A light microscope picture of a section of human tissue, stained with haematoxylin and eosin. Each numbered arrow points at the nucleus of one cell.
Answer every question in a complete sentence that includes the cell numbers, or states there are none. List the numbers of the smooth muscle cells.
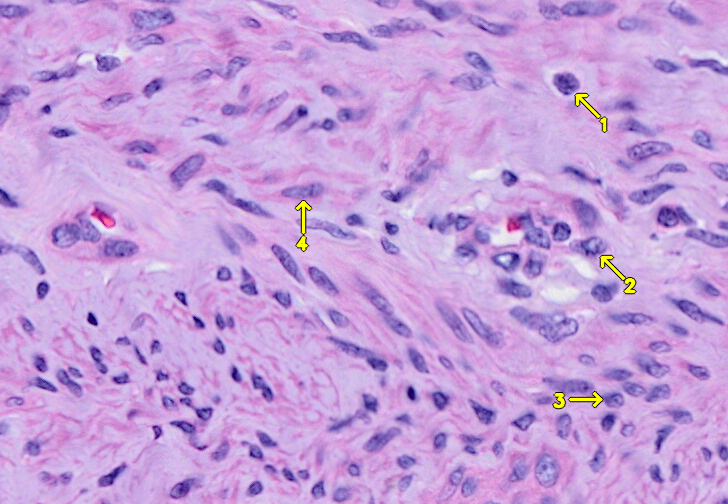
The cells numbered 3 and 4 are typed as smooth muscle cells.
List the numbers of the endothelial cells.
There is only one numbered cell that is an endothelial cell, and it is cell 2.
